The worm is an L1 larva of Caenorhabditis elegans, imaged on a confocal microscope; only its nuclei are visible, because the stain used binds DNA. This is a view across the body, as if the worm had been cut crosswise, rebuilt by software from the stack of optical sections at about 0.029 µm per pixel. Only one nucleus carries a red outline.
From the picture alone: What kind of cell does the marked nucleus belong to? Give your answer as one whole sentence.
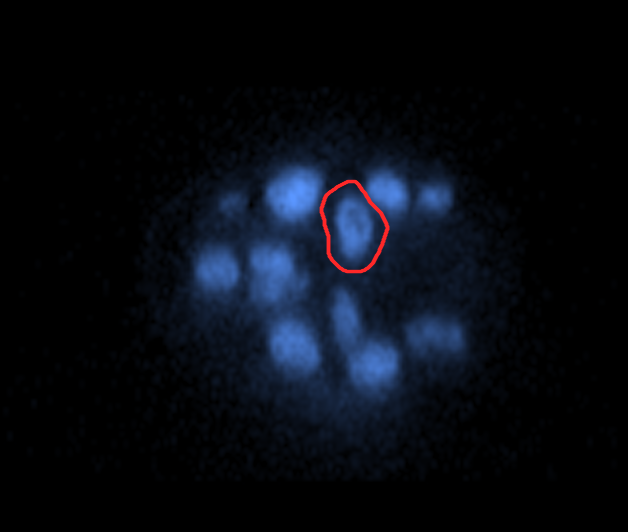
The nucleus comes from a pharyngeal muscle cell.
